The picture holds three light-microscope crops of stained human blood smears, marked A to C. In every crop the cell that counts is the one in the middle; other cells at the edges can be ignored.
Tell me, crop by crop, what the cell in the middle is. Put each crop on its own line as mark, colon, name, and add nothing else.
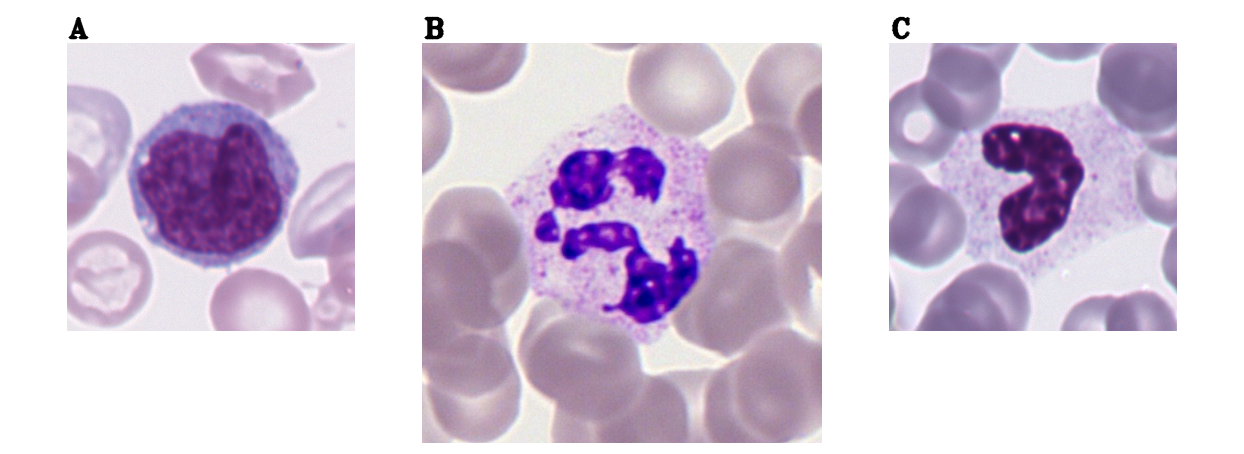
A: monocyte
B: segmented neutrophil
C: band neutrophil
